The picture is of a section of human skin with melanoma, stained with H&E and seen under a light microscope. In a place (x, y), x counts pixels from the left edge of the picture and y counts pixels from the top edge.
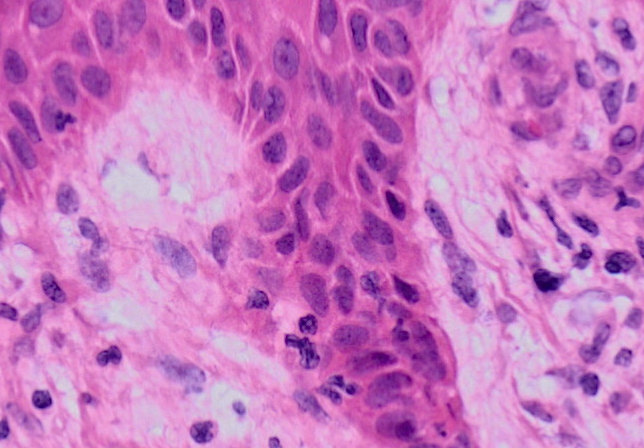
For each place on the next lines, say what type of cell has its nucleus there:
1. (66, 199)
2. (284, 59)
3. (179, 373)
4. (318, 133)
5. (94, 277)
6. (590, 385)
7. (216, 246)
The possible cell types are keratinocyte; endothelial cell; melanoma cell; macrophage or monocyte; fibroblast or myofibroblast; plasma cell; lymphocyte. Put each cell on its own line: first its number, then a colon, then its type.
1: fibroblast or myofibroblast
2: keratinocyte
3: fibroblast or myofibroblast
4: keratinocyte
5: fibroblast or myofibroblast
6: lymphocyte
7: fibroblast or myofibroblast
